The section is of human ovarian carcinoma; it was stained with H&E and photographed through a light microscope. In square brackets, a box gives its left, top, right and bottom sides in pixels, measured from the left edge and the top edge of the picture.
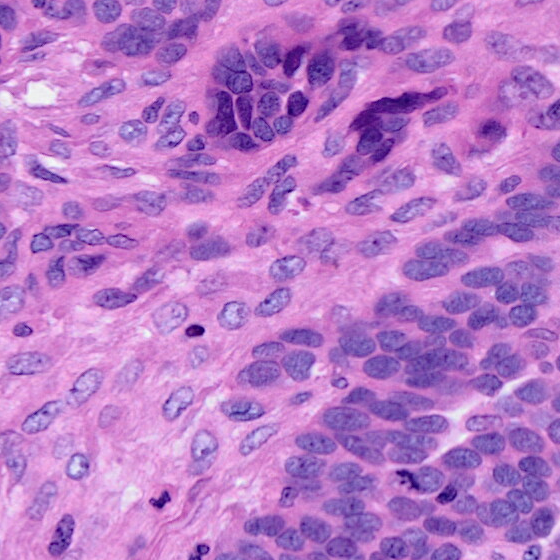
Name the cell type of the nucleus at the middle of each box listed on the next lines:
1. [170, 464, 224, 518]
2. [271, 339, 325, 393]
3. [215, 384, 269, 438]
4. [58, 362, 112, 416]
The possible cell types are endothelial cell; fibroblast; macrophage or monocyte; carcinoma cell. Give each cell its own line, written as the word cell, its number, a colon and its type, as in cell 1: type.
cell 1: fibroblast
cell 2: carcinoma cell
cell 3: fibroblast
cell 4: fibroblast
